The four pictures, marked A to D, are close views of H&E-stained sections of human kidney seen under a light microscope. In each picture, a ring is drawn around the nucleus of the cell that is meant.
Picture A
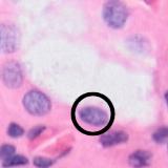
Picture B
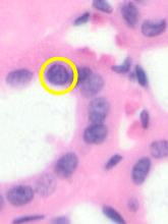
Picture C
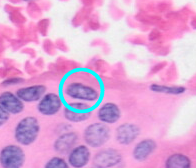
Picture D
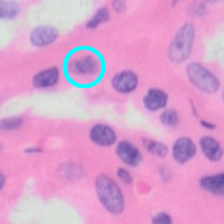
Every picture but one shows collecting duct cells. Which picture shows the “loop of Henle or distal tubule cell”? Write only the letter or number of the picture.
A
